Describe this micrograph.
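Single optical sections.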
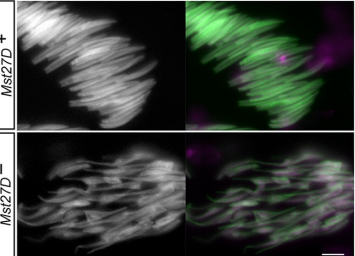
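In the upper row the nuclei are slender, needle-like and lie parallel in a tidy bundle. In the lower row the nuclei are irregular, bent and wavy, and the bundle is disordered.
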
